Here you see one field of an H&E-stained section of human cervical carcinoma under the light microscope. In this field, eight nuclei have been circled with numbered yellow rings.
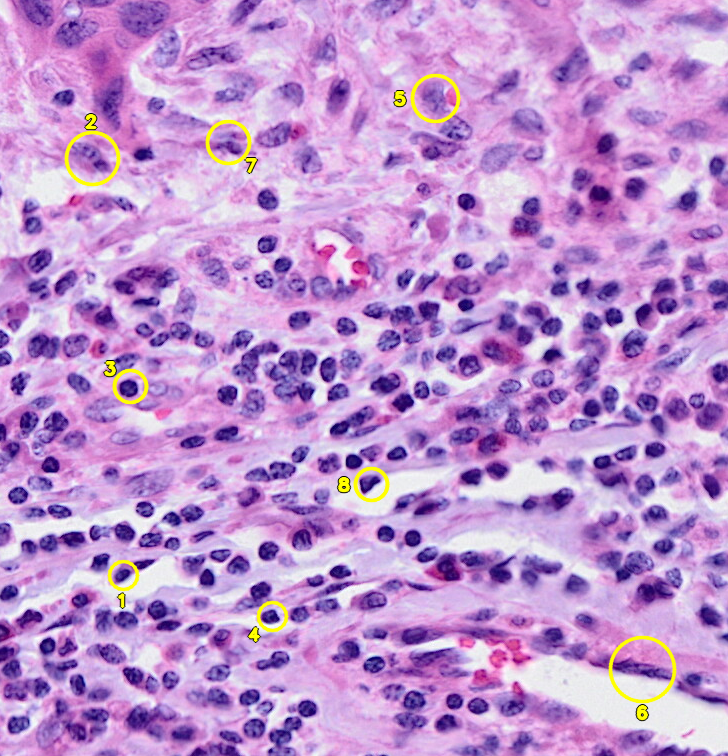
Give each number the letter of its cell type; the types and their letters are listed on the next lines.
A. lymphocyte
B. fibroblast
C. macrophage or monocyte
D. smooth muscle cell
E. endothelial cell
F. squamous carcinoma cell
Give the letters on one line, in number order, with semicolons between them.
A; E; A; A; E; E; B; A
